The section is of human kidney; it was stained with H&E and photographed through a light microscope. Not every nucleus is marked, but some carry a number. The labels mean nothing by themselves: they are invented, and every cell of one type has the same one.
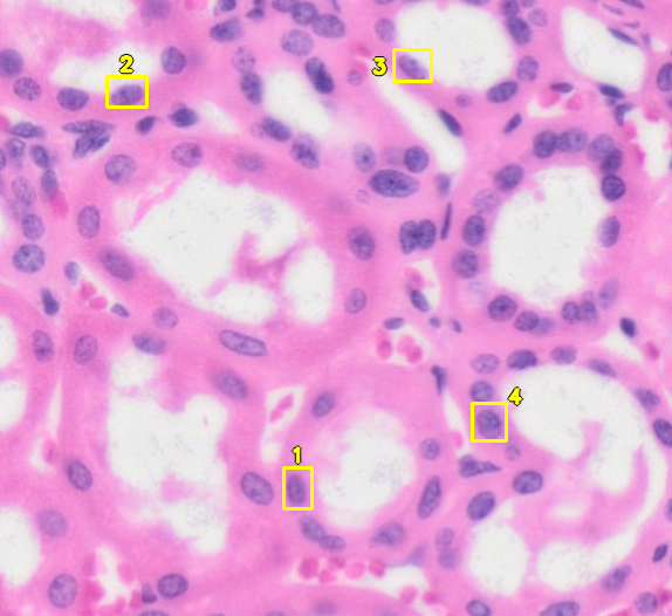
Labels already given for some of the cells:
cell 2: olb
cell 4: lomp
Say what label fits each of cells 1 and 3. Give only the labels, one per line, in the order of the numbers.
lomp
lomp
